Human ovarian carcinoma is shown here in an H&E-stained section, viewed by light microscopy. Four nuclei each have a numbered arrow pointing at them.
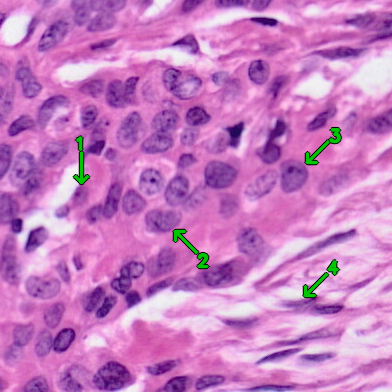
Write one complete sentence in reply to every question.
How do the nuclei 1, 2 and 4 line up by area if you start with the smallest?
By area, going up from the smallest, they rank 1, 4, 2.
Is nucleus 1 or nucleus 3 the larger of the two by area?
Of the two, number 3 is bigger and takes up about 3 times the area of number 1.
